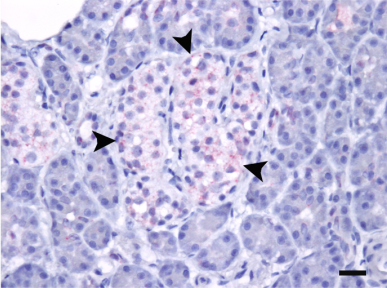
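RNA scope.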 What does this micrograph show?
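This section of pancreas shows a normal islet of pale endocrine cells lying among exocrine acini. The islet cells form a compact, rounded cluster with round blue nuclei and pale cytoplasm, and fine red dots are scattered through them. Around the islet, acinar cells are grouped into rounded units, each cell with a basally placed round nucleus and denser cytoplasm. Thin strands of connective tissue separate the acini from one another and from the islet. Red dots are sparse or absent in the surrounding acini.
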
